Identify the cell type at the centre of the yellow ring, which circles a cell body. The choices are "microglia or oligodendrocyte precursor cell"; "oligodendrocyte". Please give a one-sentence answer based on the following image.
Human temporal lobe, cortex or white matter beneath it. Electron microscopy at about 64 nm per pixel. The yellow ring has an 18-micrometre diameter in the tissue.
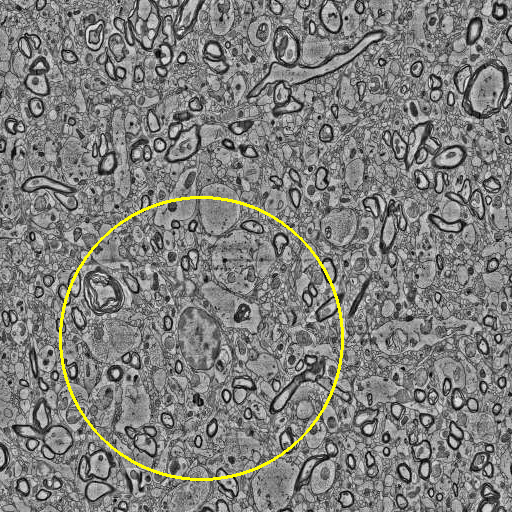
The cell marked by the ring is a microglial cell or oligodendrocyte precursor cell.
